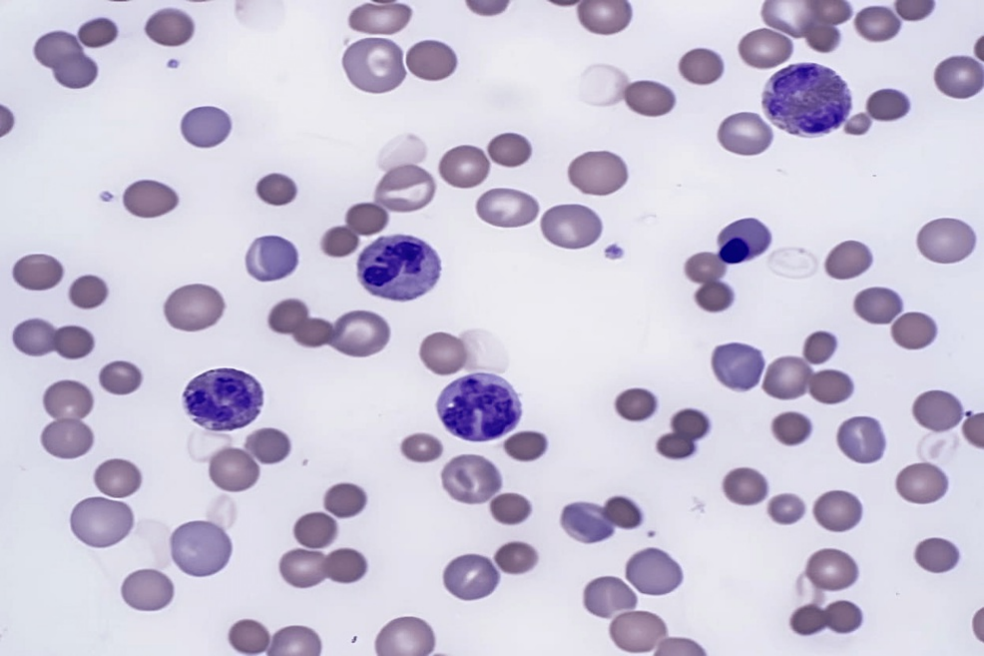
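This is a peripheral blood smear crowded with red cells, among which lie four granulocytes. Near the upper right is a small cell with a round, compact, very dark nucleus and bluish-grey cytoplasm, a nucleated red cell. The red cells vary in size and tint: several are large and round, some are paler or polychromatic, and a few are faint ghost-like outlines. Platelets are scarce, seen only as a few tiny specks.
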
